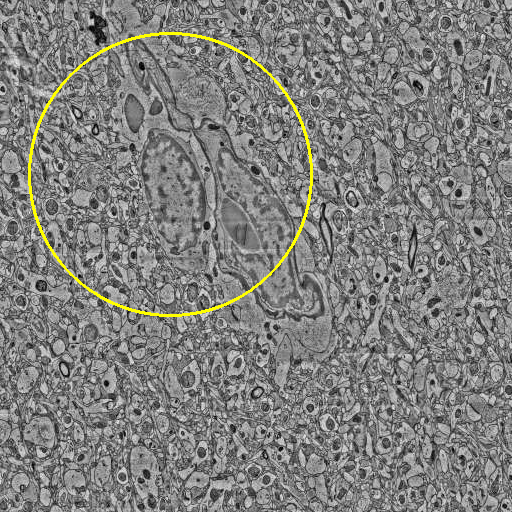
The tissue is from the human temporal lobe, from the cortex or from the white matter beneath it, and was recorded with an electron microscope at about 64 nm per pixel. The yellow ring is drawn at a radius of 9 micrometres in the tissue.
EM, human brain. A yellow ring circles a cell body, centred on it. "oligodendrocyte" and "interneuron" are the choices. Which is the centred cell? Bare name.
oligodendrocyte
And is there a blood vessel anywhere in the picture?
Yes, there is one.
